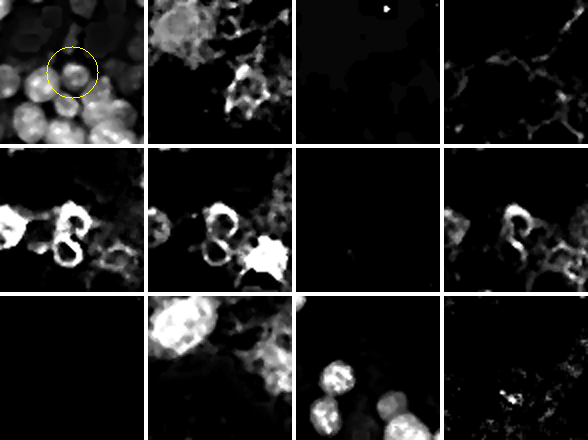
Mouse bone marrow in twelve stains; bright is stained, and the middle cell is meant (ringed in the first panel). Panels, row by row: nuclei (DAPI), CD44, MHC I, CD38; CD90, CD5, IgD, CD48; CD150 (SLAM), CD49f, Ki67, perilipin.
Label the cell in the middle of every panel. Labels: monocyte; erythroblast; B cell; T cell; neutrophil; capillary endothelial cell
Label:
T cell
